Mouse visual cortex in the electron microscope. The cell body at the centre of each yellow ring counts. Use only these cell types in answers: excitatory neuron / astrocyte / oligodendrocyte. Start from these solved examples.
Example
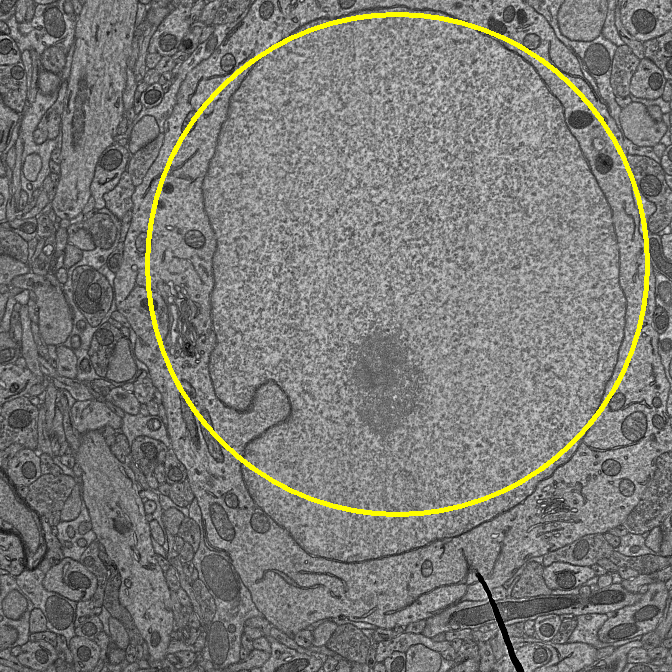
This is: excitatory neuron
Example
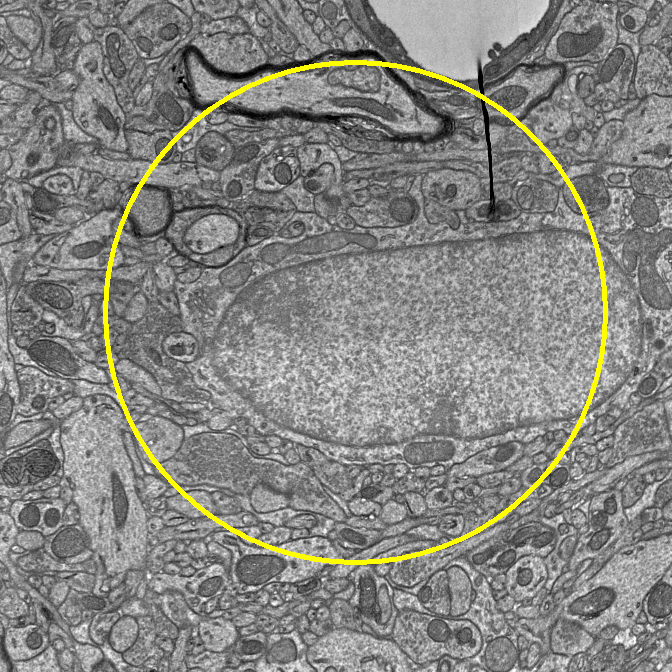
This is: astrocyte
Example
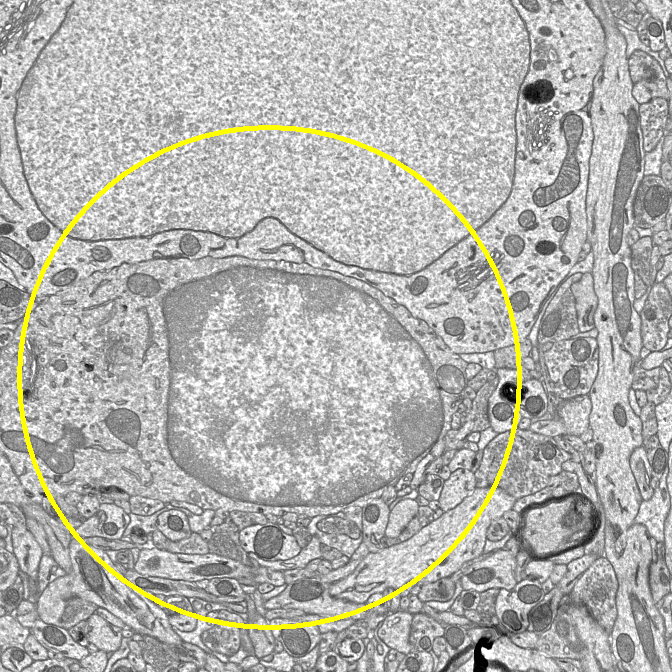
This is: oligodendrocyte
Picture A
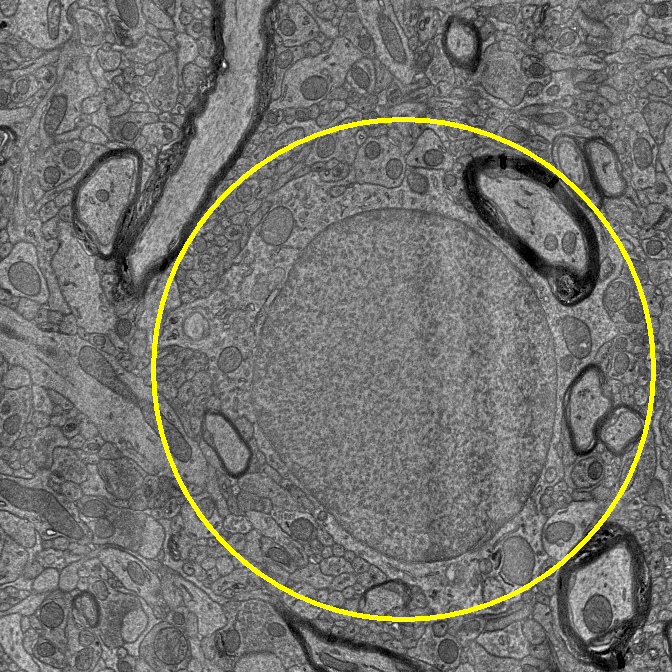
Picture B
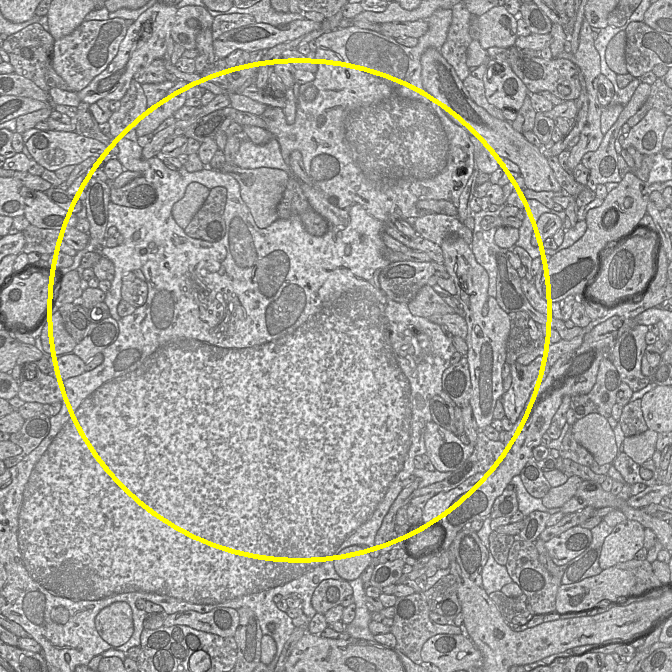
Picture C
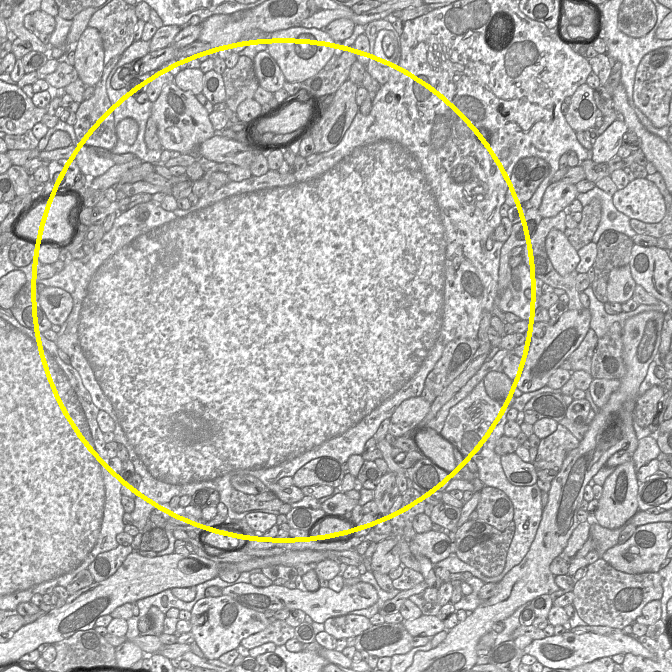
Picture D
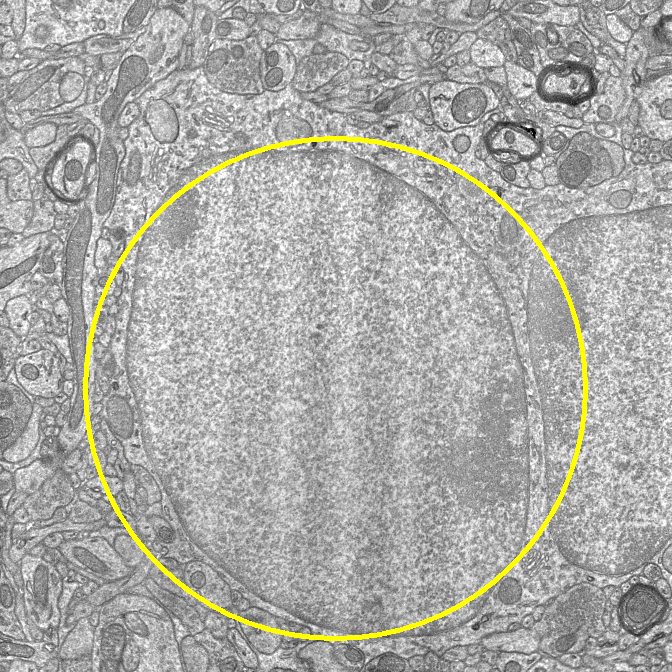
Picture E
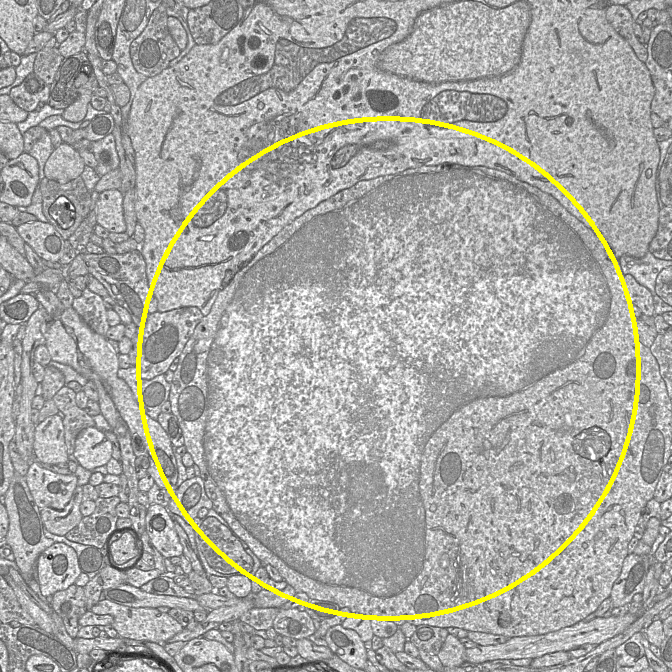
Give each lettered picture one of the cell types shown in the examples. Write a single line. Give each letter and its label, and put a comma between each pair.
A astrocyte, B astrocyte, C astrocyte, D astrocyte, E oligodendrocyte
